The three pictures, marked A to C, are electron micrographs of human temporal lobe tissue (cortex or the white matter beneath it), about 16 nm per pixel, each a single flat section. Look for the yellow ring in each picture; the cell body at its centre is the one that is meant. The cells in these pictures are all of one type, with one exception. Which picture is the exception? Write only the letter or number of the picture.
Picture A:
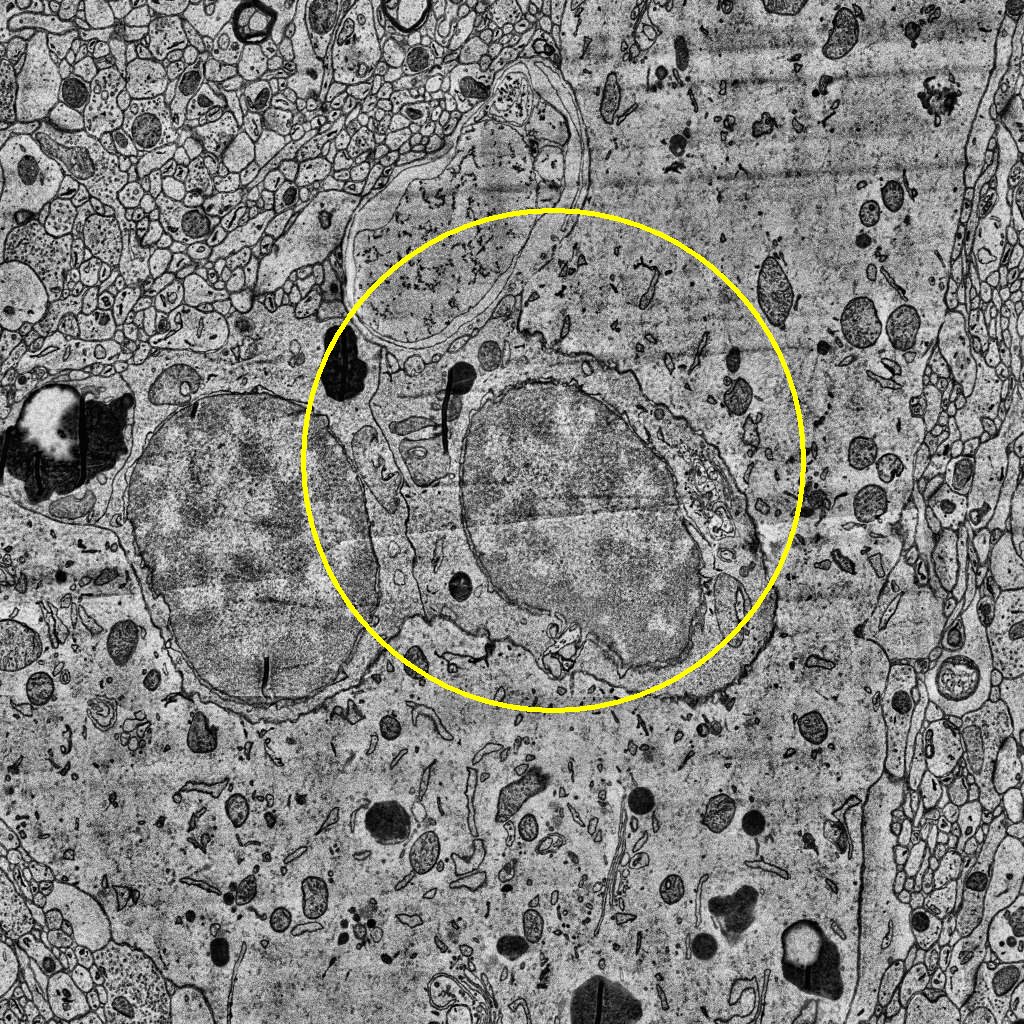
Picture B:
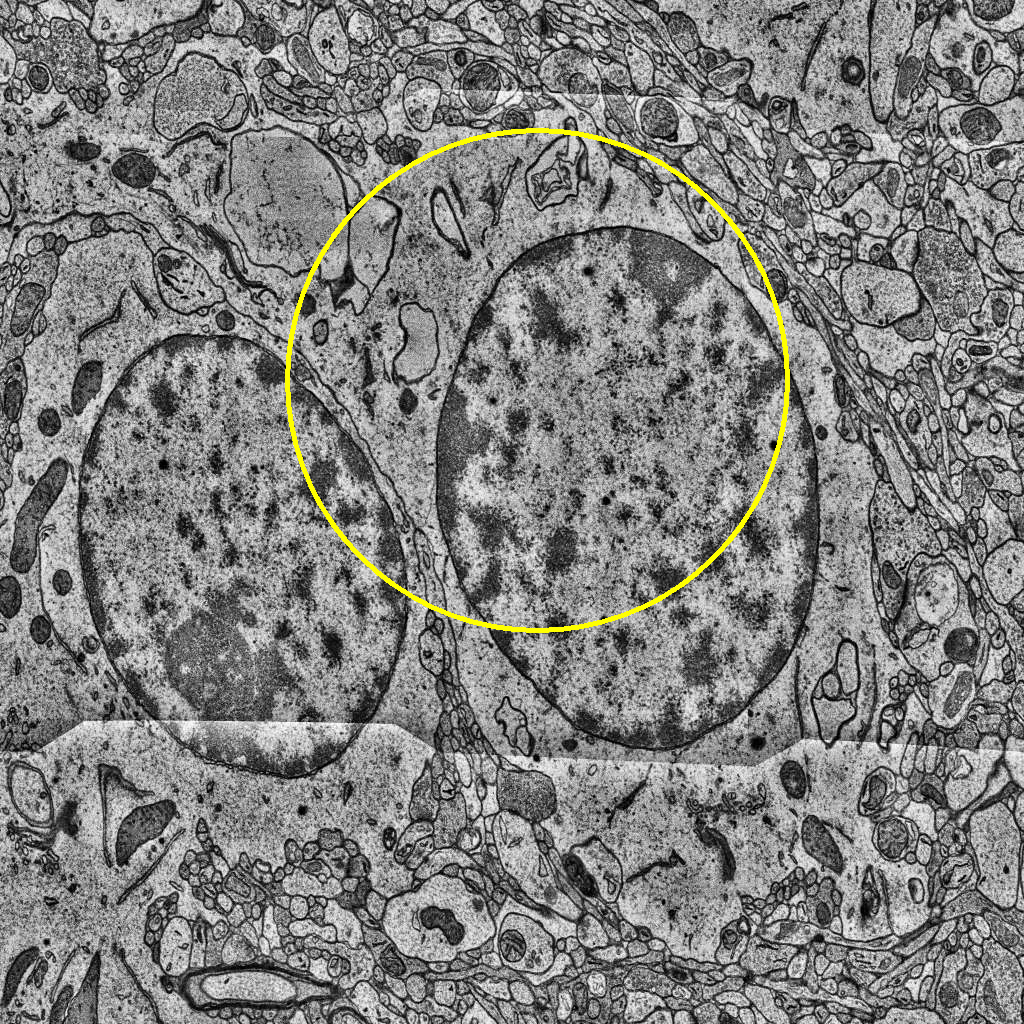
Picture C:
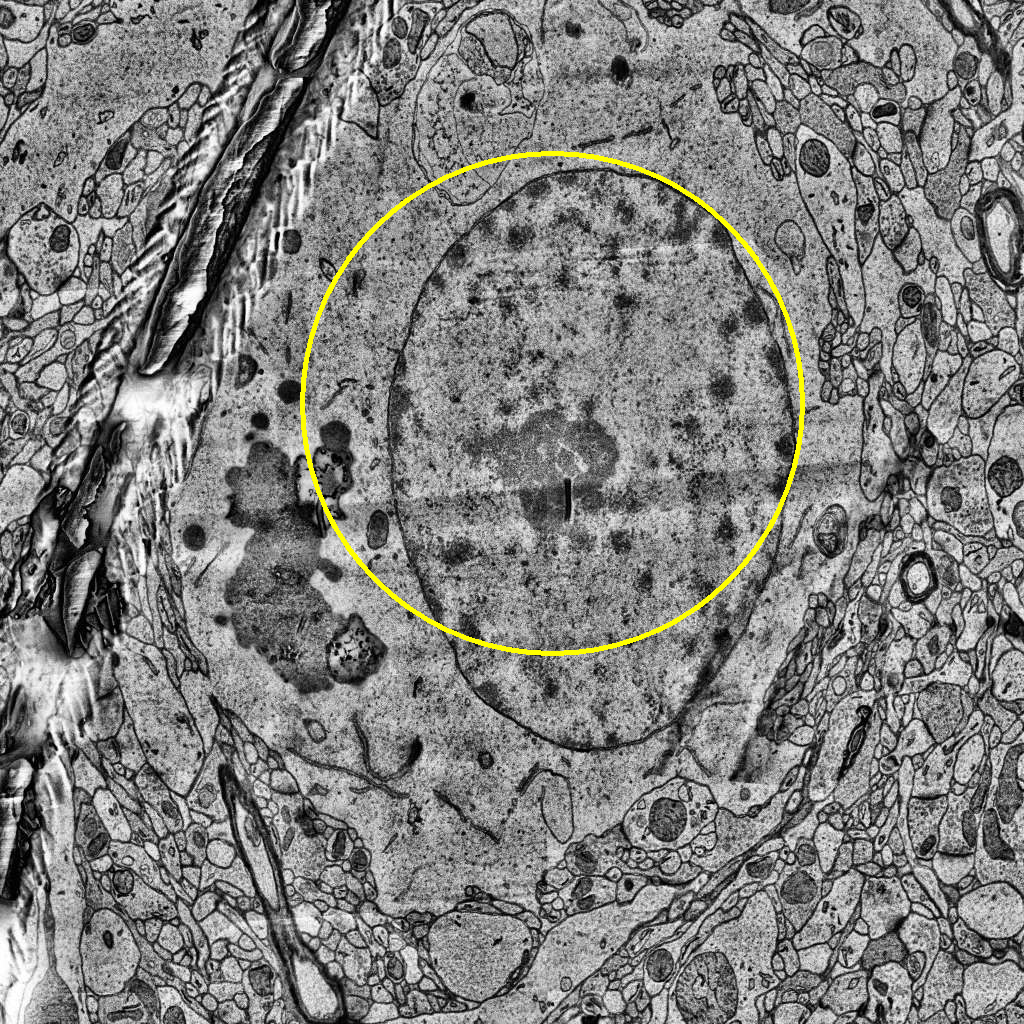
A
